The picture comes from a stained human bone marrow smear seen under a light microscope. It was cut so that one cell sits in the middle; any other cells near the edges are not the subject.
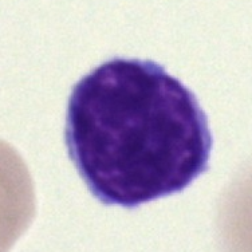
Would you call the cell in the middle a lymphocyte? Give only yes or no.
yes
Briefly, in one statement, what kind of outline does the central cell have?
Seen at its edge, the cell is not smooth but ragged or projecting.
